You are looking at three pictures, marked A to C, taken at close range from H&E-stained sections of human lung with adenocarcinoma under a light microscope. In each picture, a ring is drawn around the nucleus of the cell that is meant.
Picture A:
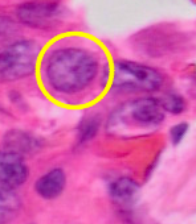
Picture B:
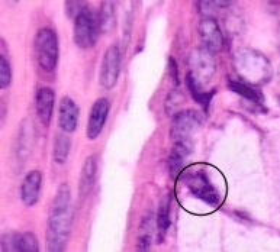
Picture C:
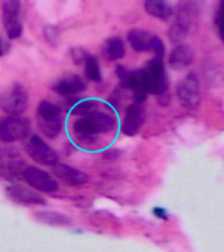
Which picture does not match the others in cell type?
A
